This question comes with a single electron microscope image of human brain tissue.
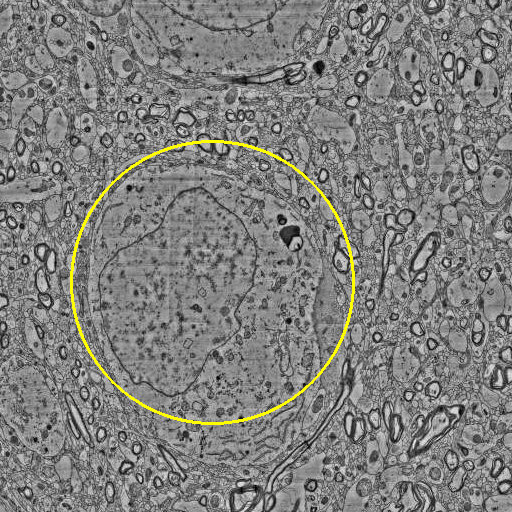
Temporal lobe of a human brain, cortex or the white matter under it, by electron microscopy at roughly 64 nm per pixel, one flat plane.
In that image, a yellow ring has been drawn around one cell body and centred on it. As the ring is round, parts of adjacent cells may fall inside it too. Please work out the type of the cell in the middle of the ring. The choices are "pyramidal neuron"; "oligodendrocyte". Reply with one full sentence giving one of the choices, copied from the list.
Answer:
Of the choices, a pyramidal neuron is the cell sitting in the middle of the ring.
